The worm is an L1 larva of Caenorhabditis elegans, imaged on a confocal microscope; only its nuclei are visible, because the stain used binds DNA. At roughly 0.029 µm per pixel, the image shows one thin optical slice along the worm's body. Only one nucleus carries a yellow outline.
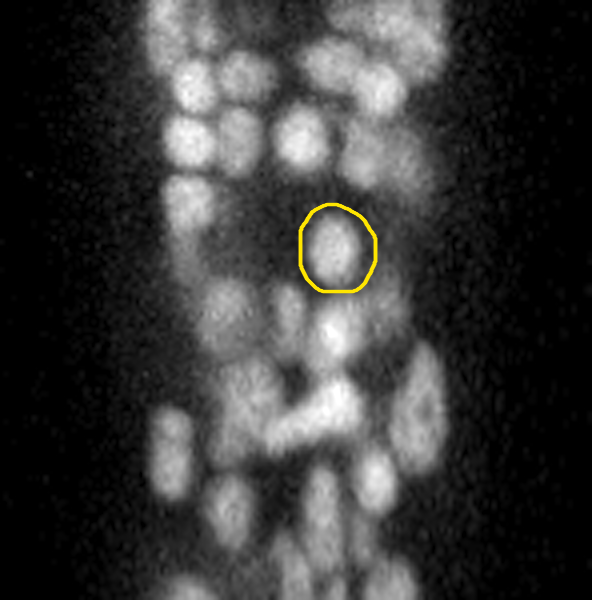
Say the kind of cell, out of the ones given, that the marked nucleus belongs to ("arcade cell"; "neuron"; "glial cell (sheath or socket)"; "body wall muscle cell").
neuron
